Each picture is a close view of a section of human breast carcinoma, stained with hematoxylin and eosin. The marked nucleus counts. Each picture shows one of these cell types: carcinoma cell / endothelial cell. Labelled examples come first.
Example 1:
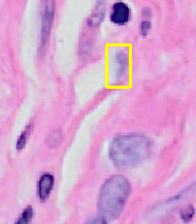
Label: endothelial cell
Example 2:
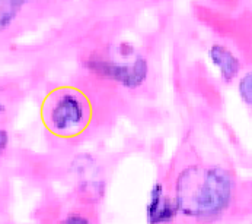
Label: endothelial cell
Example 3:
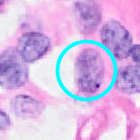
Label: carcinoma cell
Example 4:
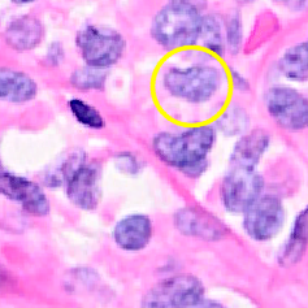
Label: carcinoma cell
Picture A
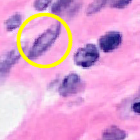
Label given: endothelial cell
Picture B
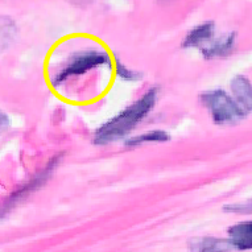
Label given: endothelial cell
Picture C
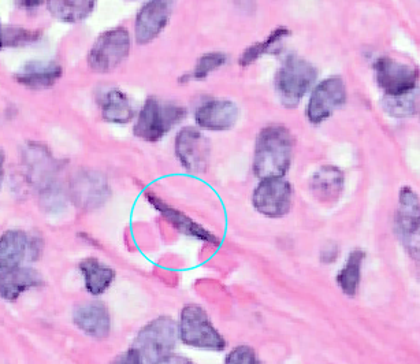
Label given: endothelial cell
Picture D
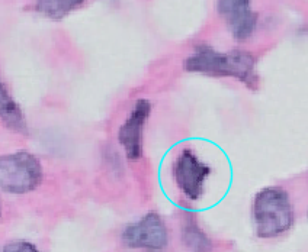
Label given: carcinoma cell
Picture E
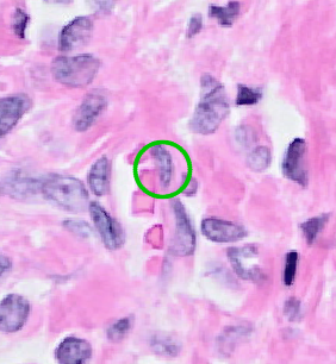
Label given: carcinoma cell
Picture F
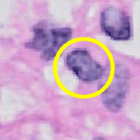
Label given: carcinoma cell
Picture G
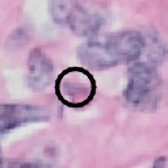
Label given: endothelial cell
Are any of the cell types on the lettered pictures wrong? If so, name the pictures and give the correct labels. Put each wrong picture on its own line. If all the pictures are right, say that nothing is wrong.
E should be endothelial cell, not carcinoma cell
